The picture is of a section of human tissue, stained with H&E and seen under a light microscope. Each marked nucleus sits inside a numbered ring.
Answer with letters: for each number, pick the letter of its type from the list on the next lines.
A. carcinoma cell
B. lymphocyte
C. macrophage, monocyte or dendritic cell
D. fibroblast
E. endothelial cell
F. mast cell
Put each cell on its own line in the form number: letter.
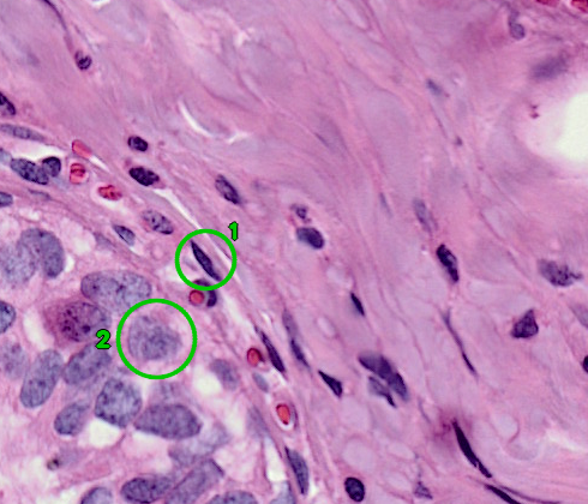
1: D
2: A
